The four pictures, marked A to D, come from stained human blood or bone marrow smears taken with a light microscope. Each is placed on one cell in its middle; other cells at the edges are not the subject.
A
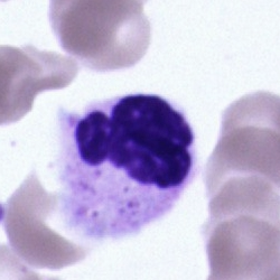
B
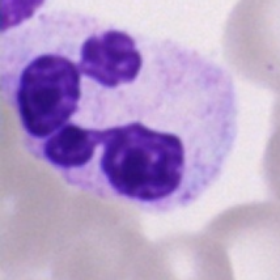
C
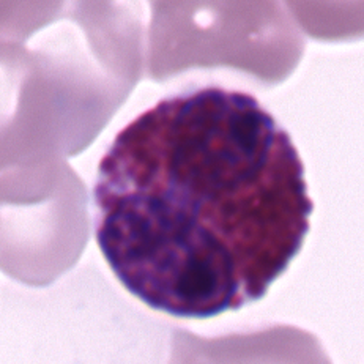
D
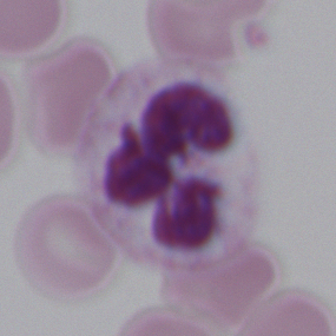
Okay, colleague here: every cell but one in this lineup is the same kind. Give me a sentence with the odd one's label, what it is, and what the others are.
Unlike the other crops, which all show segmented neutrophils, crop C is an eosinophil.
